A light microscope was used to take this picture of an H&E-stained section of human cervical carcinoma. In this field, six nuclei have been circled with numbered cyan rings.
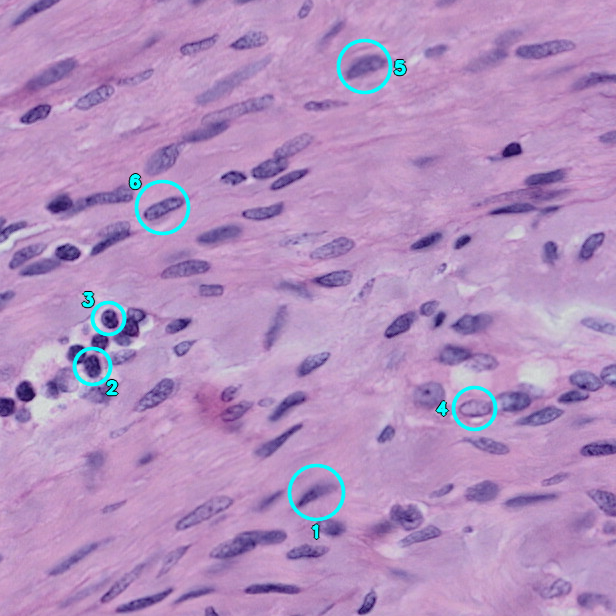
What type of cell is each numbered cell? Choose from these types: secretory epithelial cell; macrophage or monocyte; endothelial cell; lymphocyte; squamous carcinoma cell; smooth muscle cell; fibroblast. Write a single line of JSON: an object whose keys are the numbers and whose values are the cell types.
{"1": "fibroblast", "2": "lymphocyte", "3": "lymphocyte", "4": "endothelial cell", "5": "fibroblast", "6": "fibroblast"}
